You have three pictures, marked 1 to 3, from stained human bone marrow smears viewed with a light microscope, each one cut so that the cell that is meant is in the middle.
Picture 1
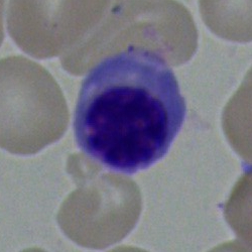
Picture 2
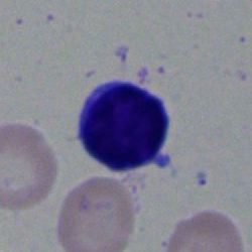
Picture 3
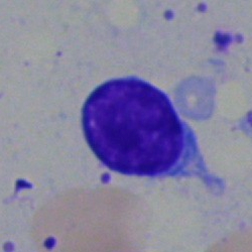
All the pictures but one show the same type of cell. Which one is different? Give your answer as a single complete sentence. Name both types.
All pictures except 1 show lymphocytes; picture 1 shows an erythroblast.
